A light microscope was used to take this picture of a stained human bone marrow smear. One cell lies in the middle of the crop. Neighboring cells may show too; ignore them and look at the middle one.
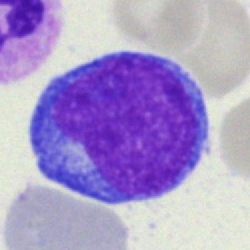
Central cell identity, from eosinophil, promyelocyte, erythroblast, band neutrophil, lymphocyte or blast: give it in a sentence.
What the crop centres on is a blast.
